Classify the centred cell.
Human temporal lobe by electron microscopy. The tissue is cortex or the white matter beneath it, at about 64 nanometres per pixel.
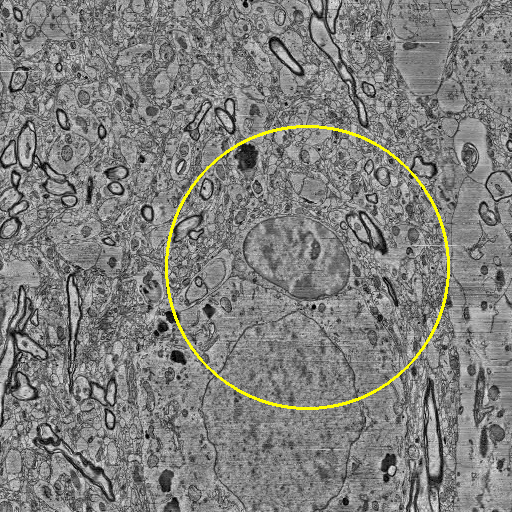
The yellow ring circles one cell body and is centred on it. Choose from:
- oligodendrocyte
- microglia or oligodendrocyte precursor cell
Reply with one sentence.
The ring is centred on an oligodendrocyte.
